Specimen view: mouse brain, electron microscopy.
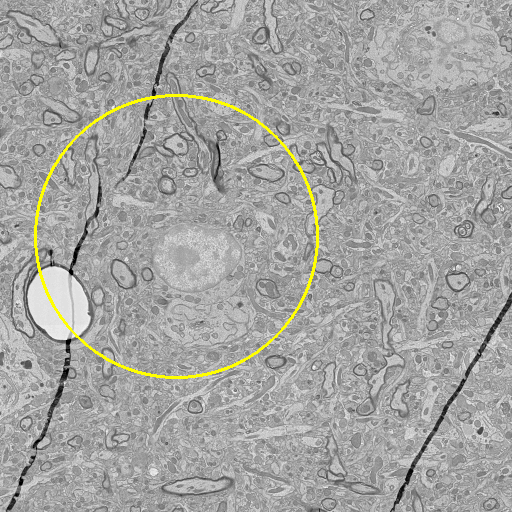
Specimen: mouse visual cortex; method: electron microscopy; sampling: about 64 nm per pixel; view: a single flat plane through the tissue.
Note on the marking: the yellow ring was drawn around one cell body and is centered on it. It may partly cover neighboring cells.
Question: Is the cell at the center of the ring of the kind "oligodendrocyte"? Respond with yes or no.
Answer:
yes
